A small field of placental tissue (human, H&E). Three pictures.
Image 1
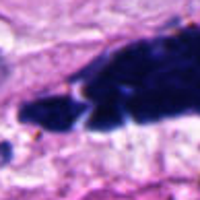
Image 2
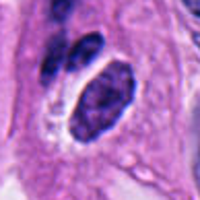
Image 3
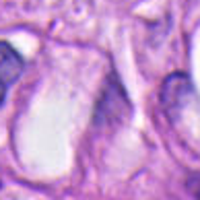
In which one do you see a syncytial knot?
In picture 1.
